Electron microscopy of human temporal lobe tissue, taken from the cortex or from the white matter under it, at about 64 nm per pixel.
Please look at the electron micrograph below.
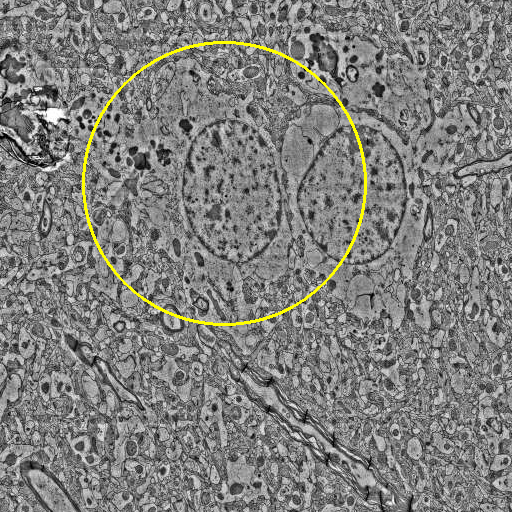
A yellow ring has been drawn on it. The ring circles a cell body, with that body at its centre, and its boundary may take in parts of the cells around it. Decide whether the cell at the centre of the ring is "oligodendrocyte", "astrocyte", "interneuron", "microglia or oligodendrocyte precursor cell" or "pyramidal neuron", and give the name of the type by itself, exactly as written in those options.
astrocyte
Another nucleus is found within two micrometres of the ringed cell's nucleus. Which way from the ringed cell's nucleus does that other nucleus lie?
The other nucleus lies to the right of it.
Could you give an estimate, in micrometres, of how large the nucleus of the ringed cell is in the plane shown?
The nucleus of the ringed cell is approximately 9 by 6 micrometres in this plane.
